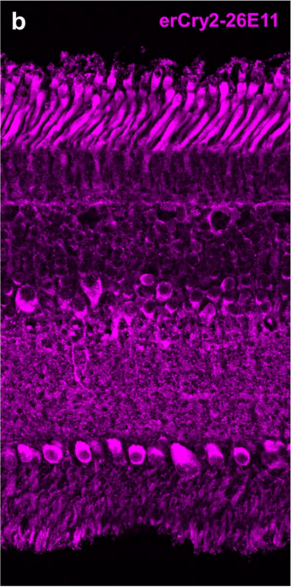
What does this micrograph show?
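The inner segments form a dense palisade of elongated, strongly magenta profiles. Below a thin line and finely labelled outer layers, the inner nuclear layer contains scattered strongly labelled cell bodies, some with processes extending into the granular inner plexiform layer. Near the inner surface a single row of rounded, cytoplasmically labelled ganglion cell bodies sits above a fibrous nerve fibre layer.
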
